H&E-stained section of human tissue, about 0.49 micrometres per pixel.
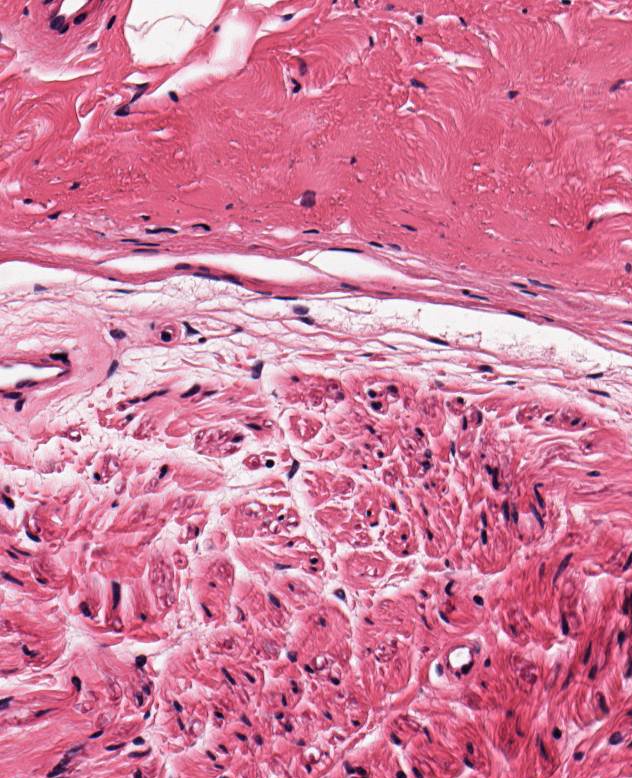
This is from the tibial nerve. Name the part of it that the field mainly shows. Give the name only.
nerve fascicle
